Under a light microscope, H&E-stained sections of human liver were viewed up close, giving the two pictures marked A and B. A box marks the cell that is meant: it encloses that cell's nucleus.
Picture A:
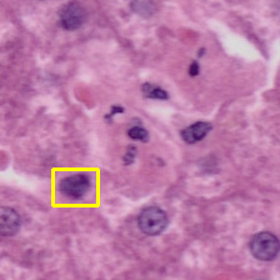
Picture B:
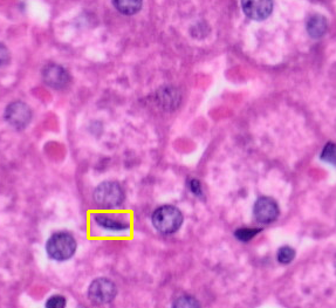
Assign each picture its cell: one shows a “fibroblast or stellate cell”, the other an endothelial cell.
A: fibroblast or stellate cell
B: endothelial cell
